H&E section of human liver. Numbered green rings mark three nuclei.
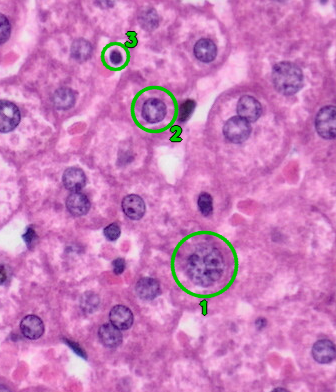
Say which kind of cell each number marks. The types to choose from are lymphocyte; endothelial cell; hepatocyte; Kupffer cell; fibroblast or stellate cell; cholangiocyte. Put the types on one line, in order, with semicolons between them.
hepatocyte; hepatocyte; lymphocyte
